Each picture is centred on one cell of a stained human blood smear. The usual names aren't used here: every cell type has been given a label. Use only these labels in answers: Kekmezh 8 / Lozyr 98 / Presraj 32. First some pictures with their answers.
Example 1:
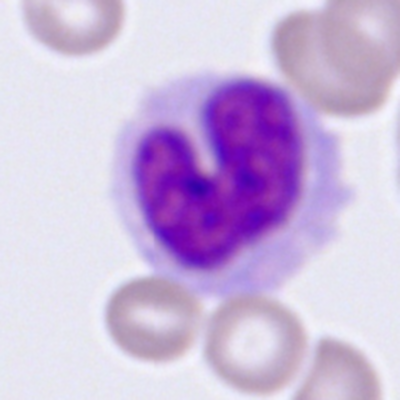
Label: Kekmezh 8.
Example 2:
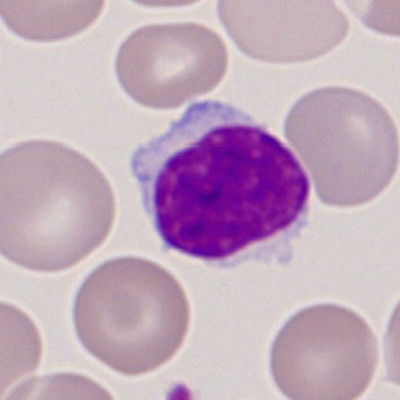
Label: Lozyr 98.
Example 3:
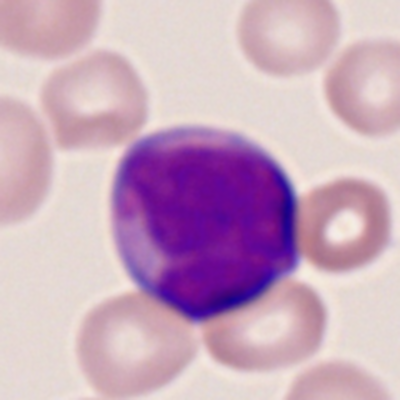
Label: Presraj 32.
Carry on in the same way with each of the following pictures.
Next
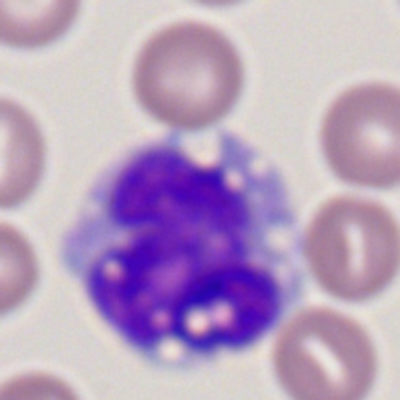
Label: Kekmezh 8.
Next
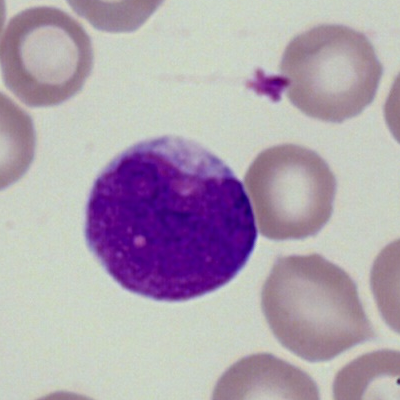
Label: Presraj 32.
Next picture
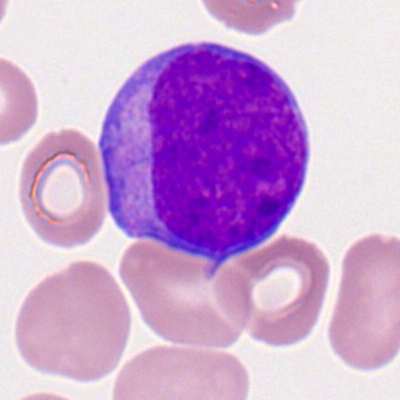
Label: Presraj 32.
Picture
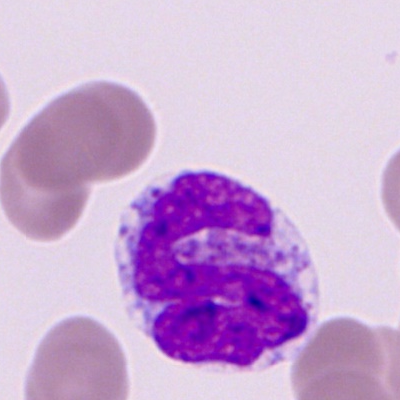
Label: Kekmezh 8.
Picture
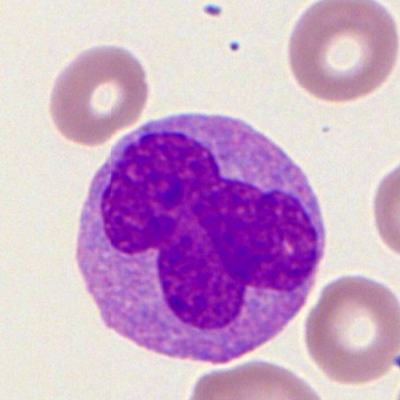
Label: Kekmezh 8.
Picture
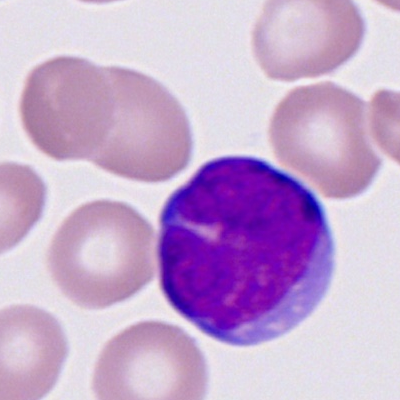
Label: Presraj 32.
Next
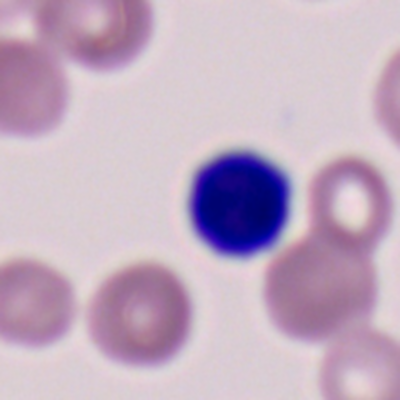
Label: Lozyr 98.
